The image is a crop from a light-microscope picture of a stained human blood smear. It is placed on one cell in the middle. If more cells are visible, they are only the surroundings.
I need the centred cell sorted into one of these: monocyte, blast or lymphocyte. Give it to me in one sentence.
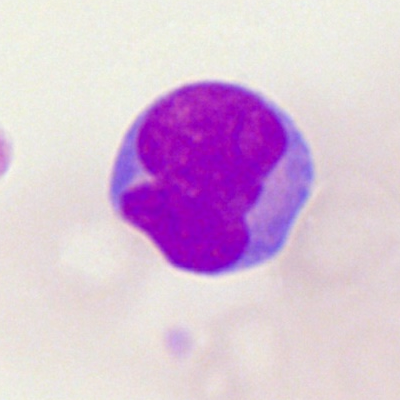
The central cell shown in this smear crop is a blast.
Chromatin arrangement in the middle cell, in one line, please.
Chromatin texture is fine, and coarse clumps are absent.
